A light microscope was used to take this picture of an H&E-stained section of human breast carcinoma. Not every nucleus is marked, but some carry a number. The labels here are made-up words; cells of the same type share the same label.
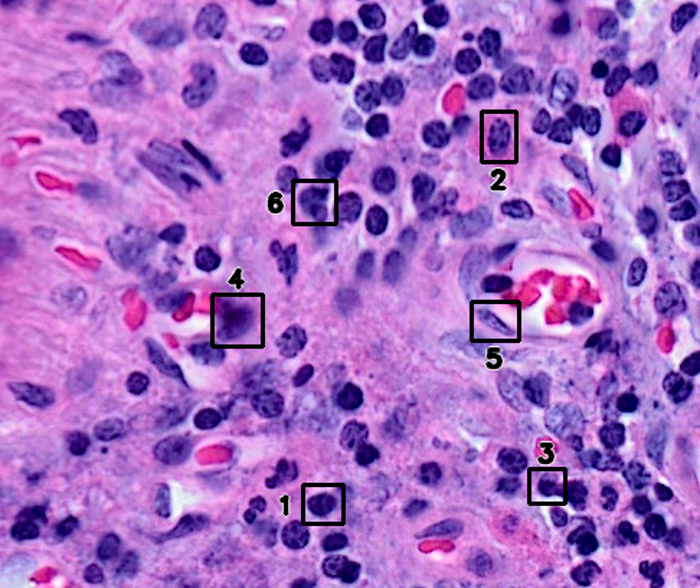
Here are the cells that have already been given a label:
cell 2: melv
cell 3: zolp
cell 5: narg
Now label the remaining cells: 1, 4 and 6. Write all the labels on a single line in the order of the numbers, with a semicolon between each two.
zolp; narg; zolp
